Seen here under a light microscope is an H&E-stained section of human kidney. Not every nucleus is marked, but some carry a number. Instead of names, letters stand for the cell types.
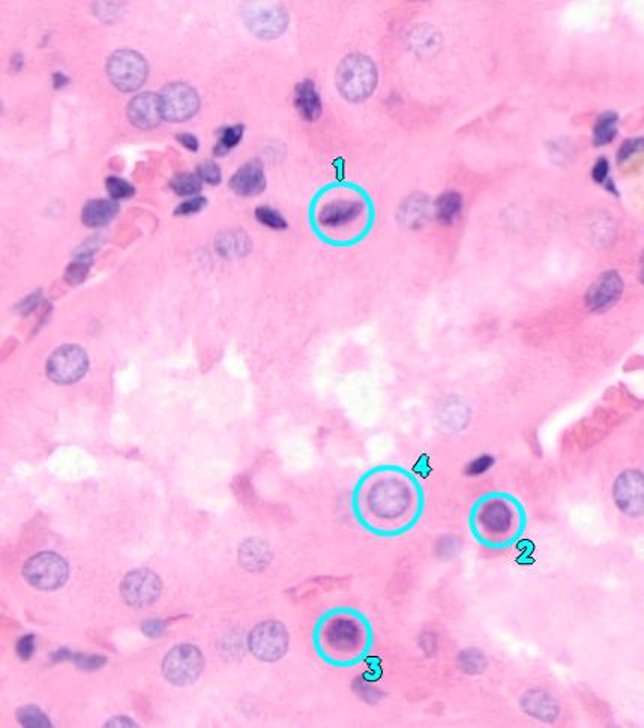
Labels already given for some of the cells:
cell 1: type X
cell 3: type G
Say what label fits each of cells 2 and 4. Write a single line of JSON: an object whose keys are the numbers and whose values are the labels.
{"2": "type G", "4": "type G"}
